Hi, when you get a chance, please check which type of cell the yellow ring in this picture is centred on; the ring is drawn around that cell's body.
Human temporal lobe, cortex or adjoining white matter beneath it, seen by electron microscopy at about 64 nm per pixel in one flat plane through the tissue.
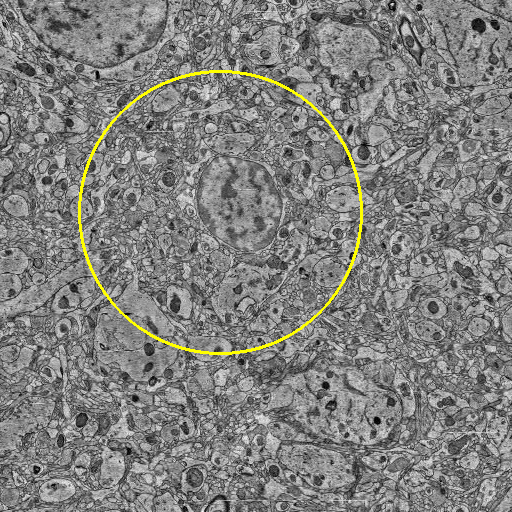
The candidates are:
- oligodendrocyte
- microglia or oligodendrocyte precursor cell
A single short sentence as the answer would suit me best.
The ring is drawn around the body of a microglial cell or oligodendrocyte precursor cell.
